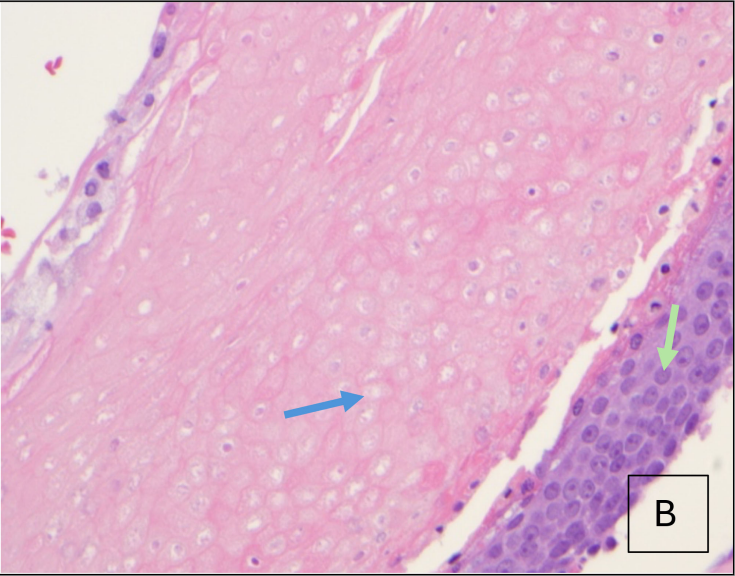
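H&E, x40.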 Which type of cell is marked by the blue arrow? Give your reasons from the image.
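Eosinophilic anucleated ghost cells. Pale pink cells with distinct cell borders. Central clear spaces where nuclei would be, without dark nuclear staining. Cells packed together in a broad sheet.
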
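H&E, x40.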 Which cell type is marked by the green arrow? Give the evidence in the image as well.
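Crowded cells with dark purple, round to oval nuclei. Cells form a narrow band along the edge of the pink sheet.
Conclusion: basaloid cells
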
